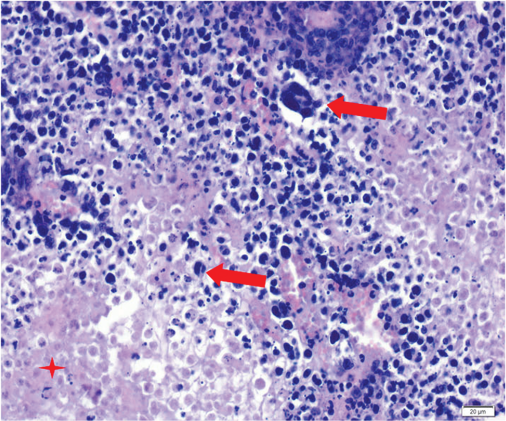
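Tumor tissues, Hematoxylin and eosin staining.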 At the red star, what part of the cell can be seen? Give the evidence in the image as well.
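The star lies in an area of pale pink-staining material. Nuclei are sparse around the starred area.
Eosinophilic cytoplasm.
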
